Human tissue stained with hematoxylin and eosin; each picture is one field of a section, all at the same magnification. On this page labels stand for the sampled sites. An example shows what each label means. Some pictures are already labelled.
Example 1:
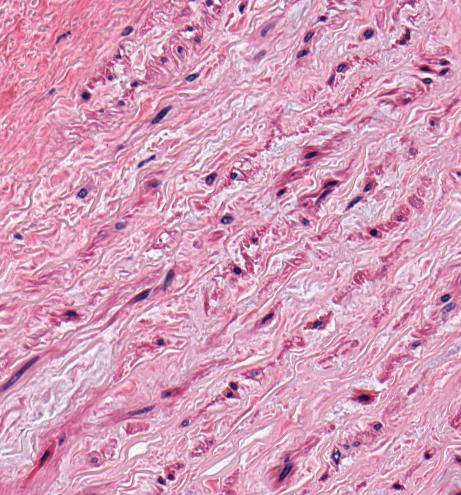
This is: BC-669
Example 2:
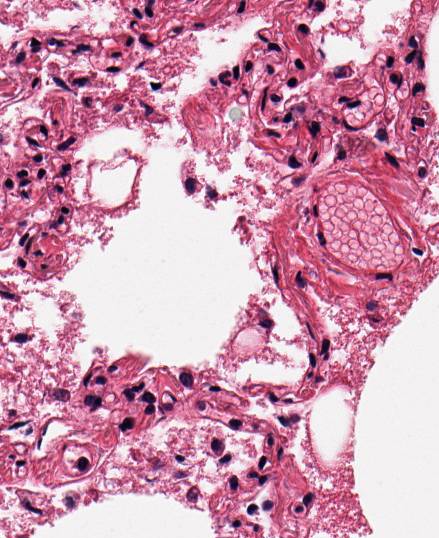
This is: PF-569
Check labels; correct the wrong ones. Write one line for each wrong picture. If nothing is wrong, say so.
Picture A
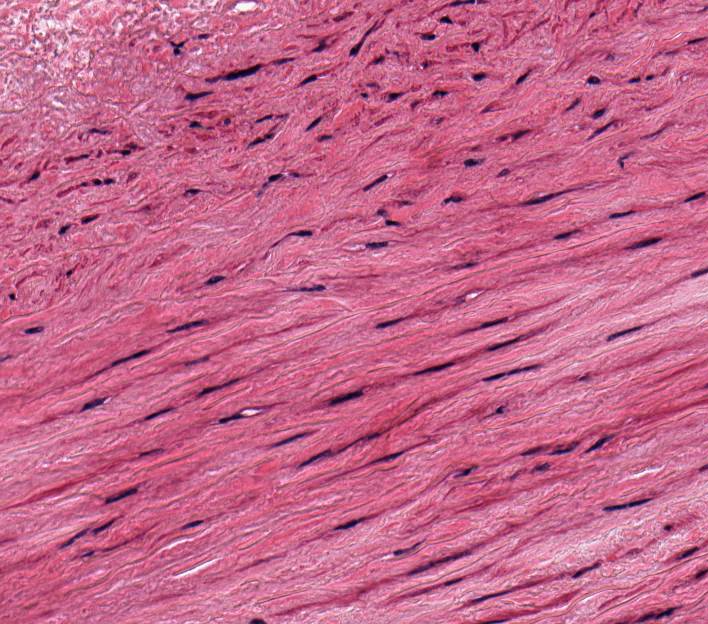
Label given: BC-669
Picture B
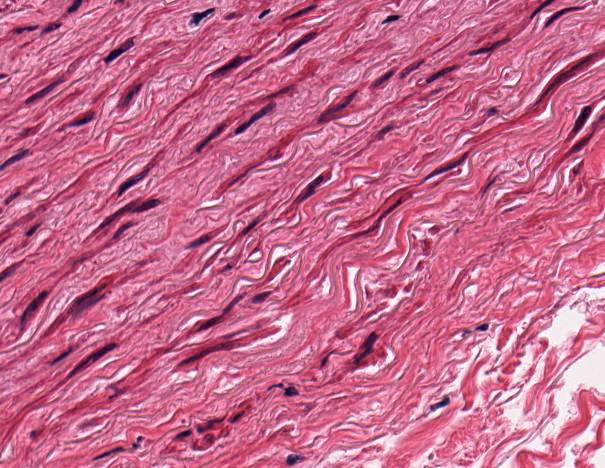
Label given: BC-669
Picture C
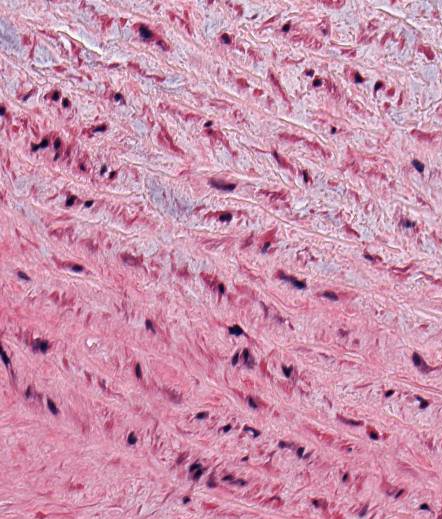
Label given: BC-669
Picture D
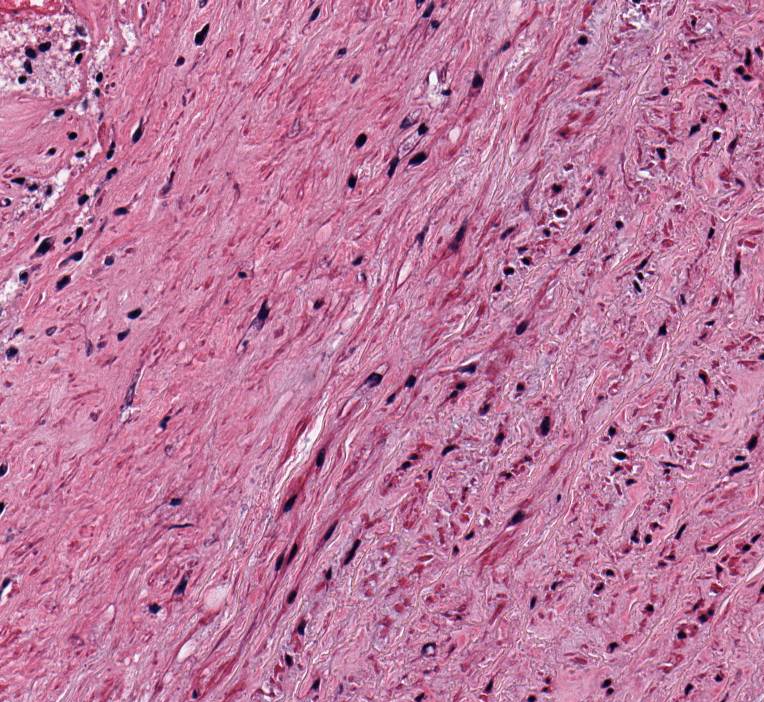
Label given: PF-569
D should be BC-669, not PF-569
